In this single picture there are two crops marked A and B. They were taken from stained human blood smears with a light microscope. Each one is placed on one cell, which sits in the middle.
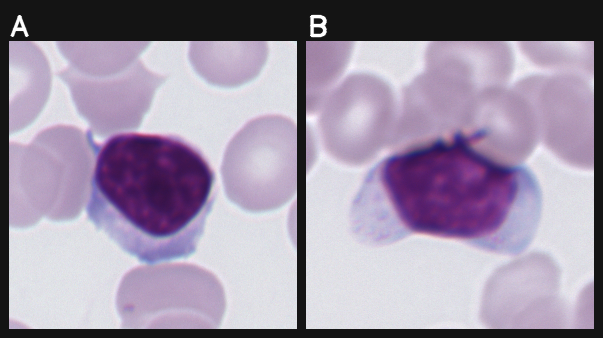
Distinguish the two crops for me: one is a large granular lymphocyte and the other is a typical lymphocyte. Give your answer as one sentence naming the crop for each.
The crop marked A shows a typical lymphocyte; the crop marked B shows a large granular lymphocyte.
